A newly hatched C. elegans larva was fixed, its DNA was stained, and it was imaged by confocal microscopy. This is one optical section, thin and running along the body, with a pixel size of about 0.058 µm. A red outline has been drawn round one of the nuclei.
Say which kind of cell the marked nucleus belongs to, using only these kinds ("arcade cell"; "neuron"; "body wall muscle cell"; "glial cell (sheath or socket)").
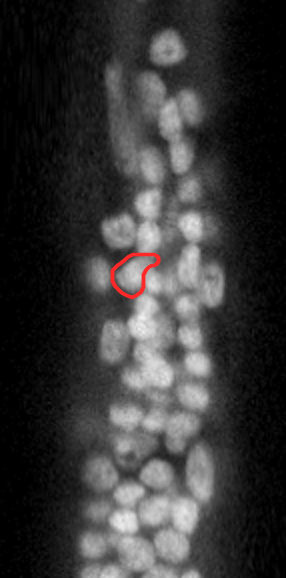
glial cell (sheath or socket)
